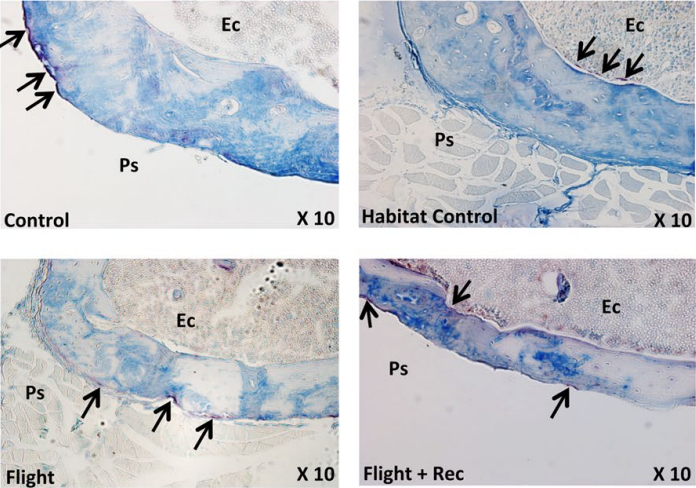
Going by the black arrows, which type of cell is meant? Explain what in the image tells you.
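The arrows point to thin red-magenta stained spots on the edges of the blue bone. The marked spots lie on the bone surfaces, not inside the bone.
Answer: osteoclastic cells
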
